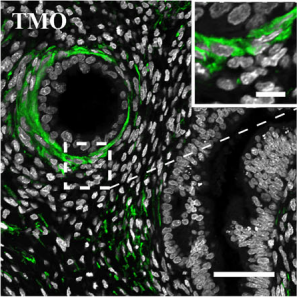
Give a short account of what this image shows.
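On the left a round empty lumen is encircled by a thick green ring made of several concentric layers of elongated cells whose flattened grey nuclei run around the circumference. Beyond the ring, loosely arranged spindle-shaped nuclei form surrounding stroma, and at the lower right lie tubular epithelial structures with tall, closely packed nuclei lining lumens. The inset enlarges the vessel wall, showing green strands lying along elongated nuclei.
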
